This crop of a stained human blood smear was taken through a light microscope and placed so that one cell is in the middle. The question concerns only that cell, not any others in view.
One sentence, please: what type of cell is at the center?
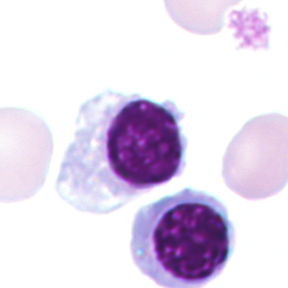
The cell at the centre of the field is an erythroblast.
